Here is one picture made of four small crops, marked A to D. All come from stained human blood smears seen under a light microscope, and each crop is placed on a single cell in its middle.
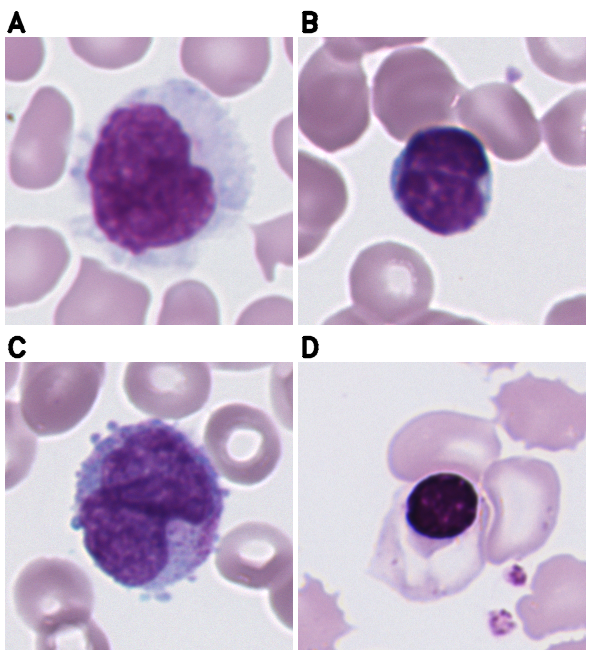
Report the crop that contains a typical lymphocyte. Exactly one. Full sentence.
In this series, a typical lymphocyte is shown by crop B.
